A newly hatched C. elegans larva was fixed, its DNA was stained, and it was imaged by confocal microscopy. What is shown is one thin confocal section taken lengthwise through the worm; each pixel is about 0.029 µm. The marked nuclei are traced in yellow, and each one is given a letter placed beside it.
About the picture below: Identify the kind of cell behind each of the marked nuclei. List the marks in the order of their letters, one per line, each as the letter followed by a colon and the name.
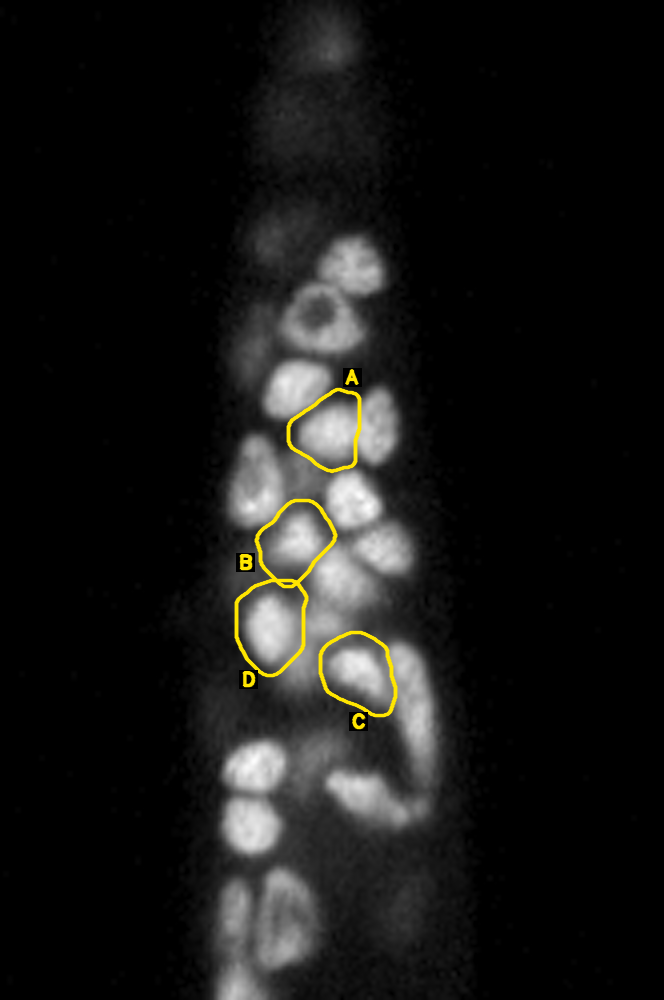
A: glial cell (sheath or socket)
B: neuron
C: rectal epithelial cell
D: neuron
